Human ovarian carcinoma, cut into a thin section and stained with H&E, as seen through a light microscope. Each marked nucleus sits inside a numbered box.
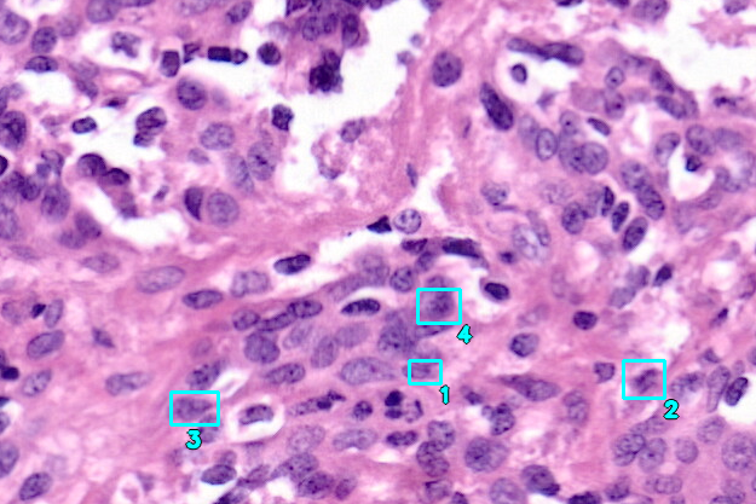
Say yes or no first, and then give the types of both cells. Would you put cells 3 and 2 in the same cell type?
No, cell 3 is a carcinoma cell and cell 2 is a macrophage or monocyte.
